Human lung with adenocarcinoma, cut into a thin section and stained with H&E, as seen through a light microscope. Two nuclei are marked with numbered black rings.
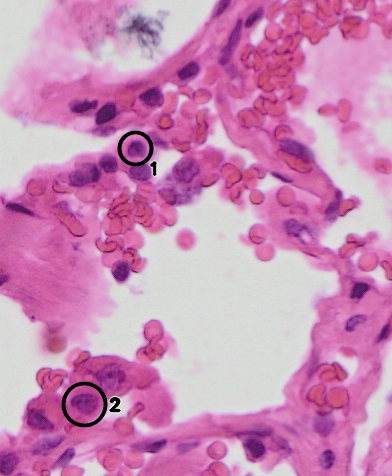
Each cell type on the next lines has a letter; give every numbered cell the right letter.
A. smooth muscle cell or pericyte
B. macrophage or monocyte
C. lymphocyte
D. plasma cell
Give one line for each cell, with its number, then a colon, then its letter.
1: C
2: B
